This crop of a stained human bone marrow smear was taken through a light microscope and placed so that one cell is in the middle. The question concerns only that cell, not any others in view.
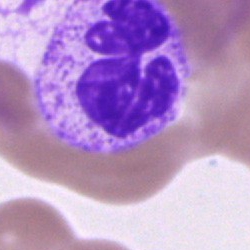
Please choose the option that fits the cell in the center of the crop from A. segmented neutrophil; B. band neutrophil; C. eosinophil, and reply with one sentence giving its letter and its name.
With the cell in the middle being a segmented neutrophil, option A is the correct choice.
